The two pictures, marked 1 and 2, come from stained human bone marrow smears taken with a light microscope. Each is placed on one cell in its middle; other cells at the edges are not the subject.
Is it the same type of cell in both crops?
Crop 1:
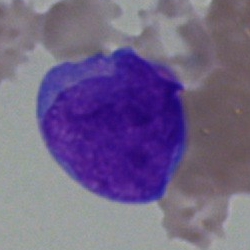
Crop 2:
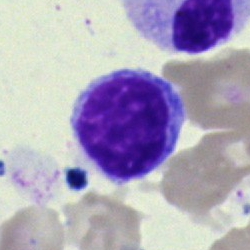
no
